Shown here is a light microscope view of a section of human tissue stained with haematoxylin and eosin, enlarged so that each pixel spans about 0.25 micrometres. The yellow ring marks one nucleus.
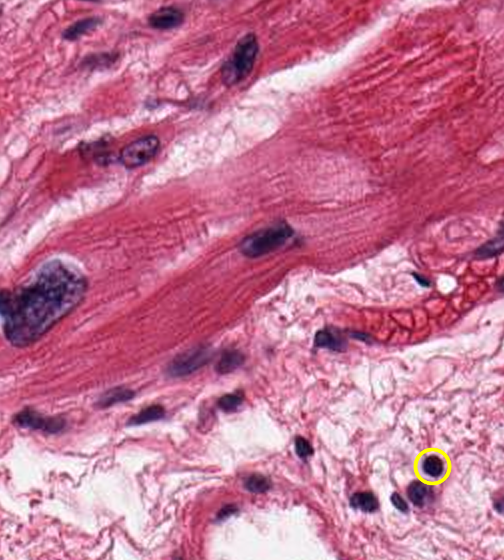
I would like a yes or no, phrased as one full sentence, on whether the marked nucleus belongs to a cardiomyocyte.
No, the marked nucleus, rather than belonging to a cardiomyocyte, belongs to a supporting cell.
